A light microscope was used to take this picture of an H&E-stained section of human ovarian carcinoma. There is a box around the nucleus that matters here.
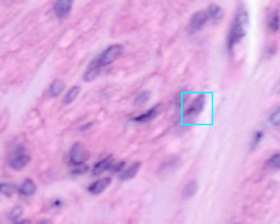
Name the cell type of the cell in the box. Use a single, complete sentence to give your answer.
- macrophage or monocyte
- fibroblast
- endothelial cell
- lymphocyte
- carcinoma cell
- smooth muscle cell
At the level of cell identity, the cell in the box is a smooth muscle cell.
